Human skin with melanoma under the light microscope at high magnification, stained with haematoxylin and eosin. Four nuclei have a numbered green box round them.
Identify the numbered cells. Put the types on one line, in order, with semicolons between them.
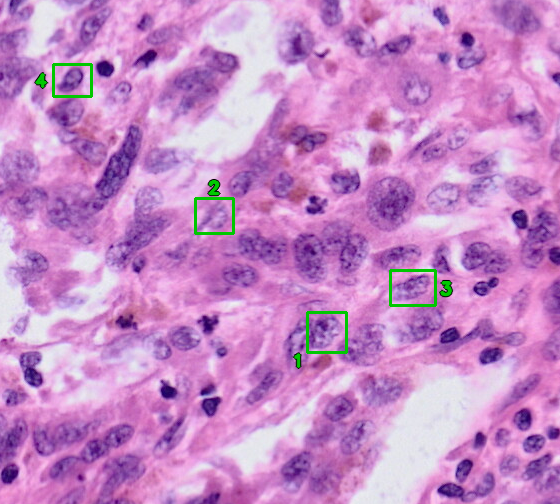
melanoma cell; melanoma cell; melanoma cell; macrophage or monocyte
